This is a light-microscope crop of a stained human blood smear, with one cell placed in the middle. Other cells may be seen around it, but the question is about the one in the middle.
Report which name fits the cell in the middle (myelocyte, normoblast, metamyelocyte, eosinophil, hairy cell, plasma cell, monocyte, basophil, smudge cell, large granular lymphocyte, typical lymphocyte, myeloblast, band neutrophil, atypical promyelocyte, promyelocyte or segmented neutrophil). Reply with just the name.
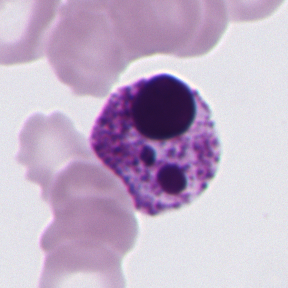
segmented neutrophil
